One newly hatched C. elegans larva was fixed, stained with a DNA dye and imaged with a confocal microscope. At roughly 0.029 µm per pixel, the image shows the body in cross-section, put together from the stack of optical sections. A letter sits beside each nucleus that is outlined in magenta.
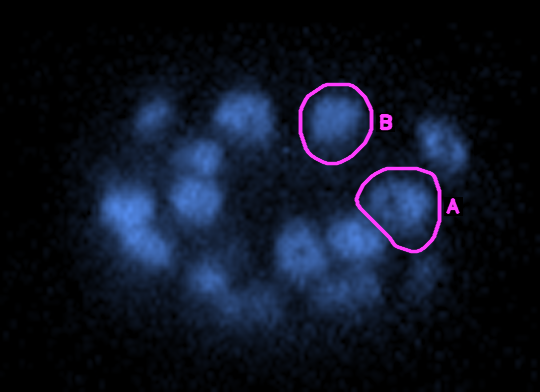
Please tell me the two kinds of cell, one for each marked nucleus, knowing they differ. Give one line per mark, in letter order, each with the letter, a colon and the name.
A: pharyngeal muscle cell
B: pharyngeal marginal cell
